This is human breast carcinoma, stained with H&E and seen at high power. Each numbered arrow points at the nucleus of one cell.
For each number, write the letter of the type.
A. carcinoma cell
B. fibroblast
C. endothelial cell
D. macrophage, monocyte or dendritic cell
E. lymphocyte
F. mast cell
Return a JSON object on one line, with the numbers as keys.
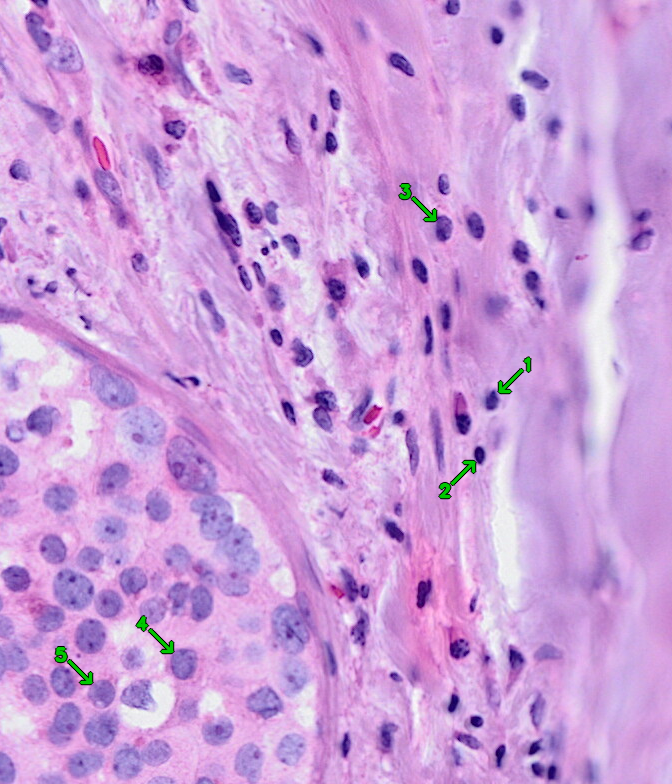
{"1": "E", "2": "E", "3": "E", "4": "A", "5": "A"}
